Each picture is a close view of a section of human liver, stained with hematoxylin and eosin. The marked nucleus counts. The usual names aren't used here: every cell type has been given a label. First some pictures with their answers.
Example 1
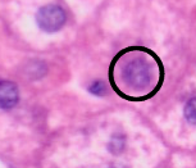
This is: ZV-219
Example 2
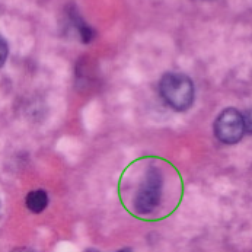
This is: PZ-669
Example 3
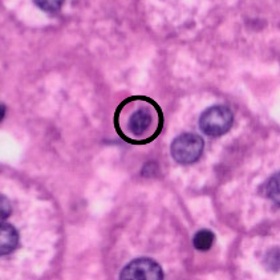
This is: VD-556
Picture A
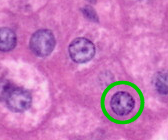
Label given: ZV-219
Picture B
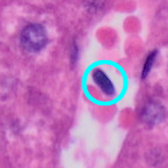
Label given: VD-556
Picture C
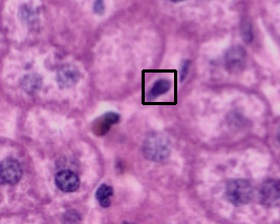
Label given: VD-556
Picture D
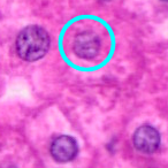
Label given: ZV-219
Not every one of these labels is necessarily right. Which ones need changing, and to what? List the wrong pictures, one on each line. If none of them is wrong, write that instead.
Every label is right.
